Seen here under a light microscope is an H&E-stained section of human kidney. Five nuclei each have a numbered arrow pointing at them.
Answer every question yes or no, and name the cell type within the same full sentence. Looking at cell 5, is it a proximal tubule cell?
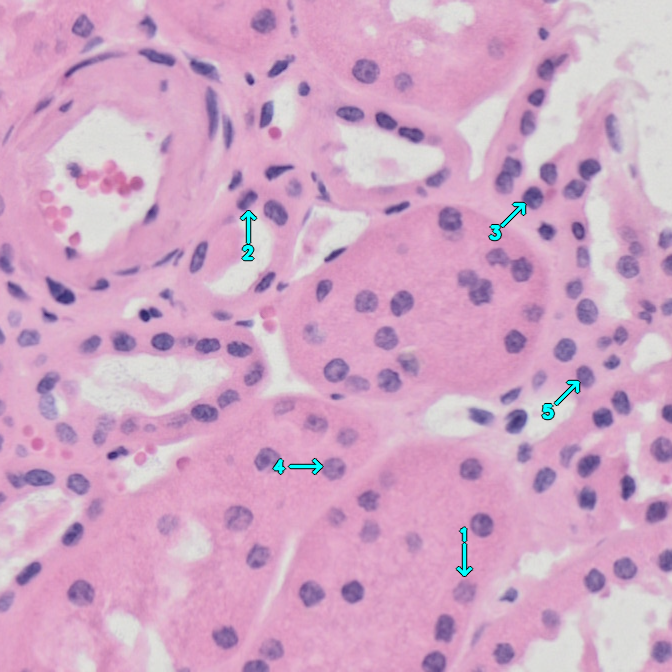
No, not a proximal tubule cell: the cell with number 5 is a collecting duct cell.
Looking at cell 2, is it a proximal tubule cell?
No. Cell number 2 is a collecting duct cell, not a proximal tubule cell.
